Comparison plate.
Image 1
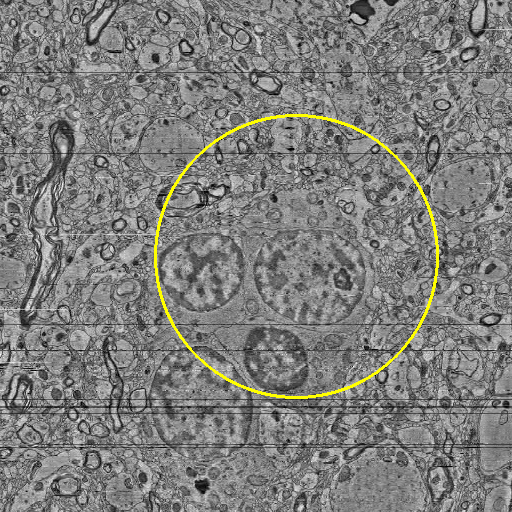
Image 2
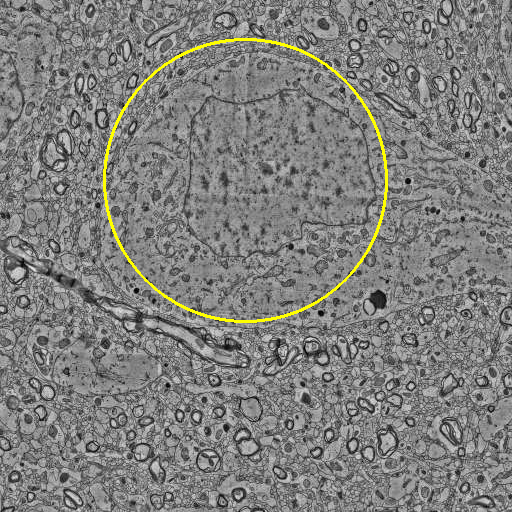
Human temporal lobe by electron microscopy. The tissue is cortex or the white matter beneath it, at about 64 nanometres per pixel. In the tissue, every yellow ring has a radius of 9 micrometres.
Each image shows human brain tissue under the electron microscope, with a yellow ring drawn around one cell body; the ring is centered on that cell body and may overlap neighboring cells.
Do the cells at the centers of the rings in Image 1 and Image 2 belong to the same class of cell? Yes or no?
no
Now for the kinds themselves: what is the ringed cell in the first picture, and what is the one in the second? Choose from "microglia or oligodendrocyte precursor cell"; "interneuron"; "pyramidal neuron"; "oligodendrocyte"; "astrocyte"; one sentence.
Here the first cell is an oligodendrocyte and the second cell is a pyramidal neuron.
